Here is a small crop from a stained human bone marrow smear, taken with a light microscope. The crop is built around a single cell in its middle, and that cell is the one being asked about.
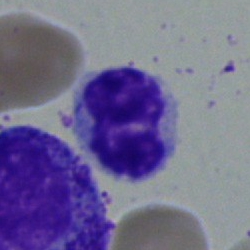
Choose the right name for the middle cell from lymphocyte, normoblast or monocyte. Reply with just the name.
monocyte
